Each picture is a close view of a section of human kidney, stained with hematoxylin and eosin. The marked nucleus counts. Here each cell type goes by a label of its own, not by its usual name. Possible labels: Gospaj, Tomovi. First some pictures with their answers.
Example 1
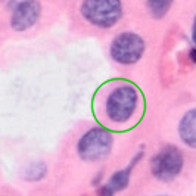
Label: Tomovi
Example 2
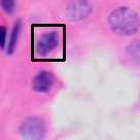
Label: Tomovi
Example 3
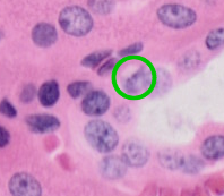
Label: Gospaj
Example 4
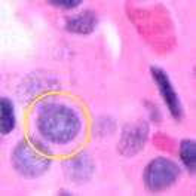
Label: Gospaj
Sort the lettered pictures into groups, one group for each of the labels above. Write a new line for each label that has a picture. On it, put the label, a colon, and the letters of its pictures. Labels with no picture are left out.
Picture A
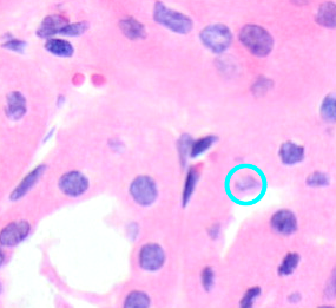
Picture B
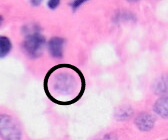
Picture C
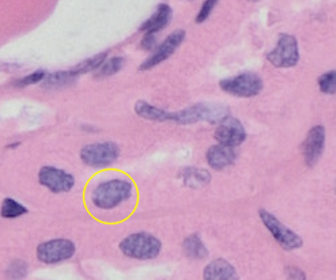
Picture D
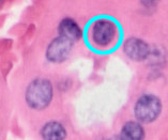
Gospaj: D
Tomovi: A, B, C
